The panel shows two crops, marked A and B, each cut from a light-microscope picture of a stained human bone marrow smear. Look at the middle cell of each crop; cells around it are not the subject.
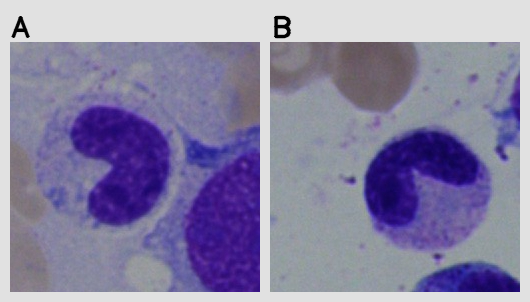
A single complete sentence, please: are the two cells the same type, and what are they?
Yes, band neutrophils are the cells in the middle of both crops.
